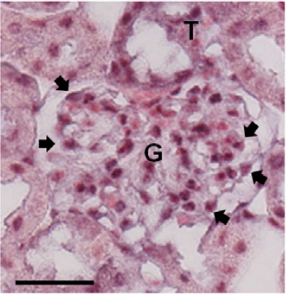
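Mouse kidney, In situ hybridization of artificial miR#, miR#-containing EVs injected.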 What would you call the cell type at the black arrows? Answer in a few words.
Podocytes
